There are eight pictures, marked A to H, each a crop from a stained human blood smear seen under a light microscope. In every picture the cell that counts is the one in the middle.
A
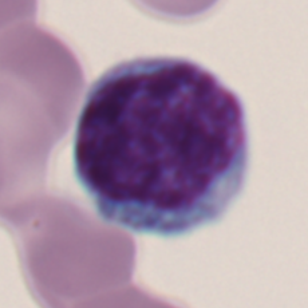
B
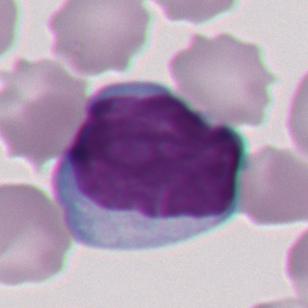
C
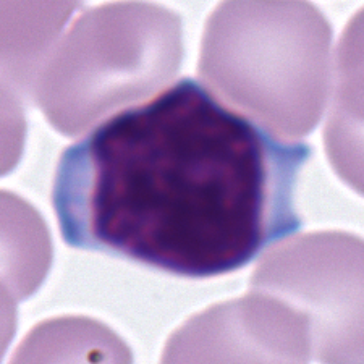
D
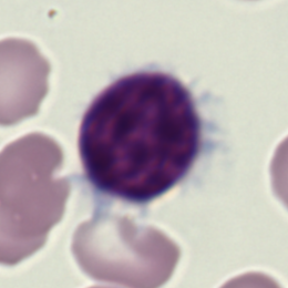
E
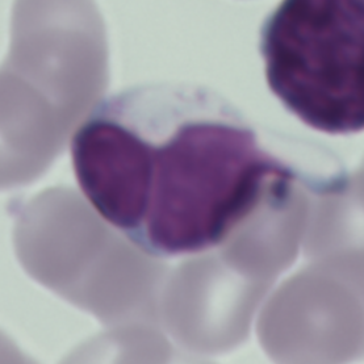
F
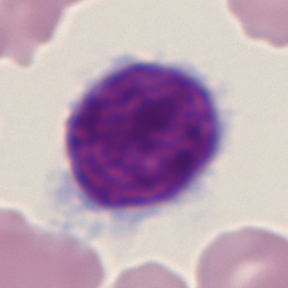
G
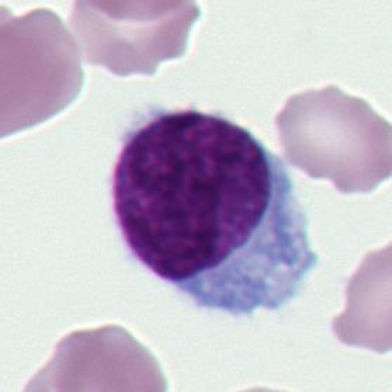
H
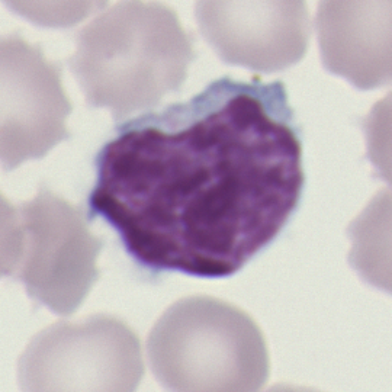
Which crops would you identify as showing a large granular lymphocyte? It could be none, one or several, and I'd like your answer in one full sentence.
The crop with a large granular lymphocyte is crop E; no other crop has one.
